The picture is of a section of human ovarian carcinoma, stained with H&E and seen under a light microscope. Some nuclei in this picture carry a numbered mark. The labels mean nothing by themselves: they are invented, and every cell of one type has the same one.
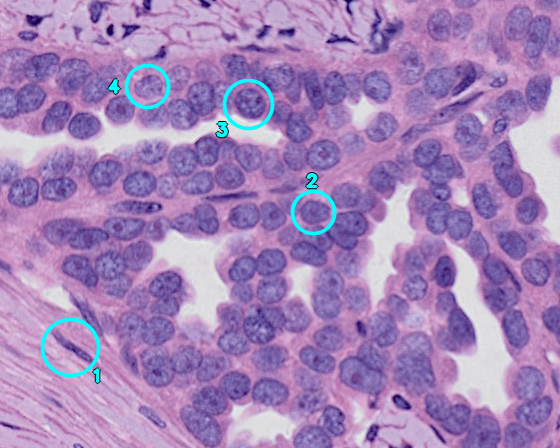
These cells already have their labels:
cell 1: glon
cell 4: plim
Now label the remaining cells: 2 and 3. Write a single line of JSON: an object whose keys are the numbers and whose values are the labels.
{"2": "plim", "3": "plim"}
